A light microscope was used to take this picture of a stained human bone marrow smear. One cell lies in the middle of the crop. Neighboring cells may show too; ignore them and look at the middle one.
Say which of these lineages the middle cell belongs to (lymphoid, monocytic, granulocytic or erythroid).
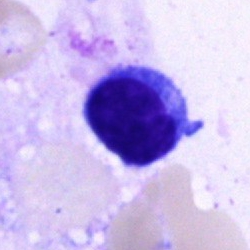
lymphoid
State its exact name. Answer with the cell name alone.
lymphocyte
